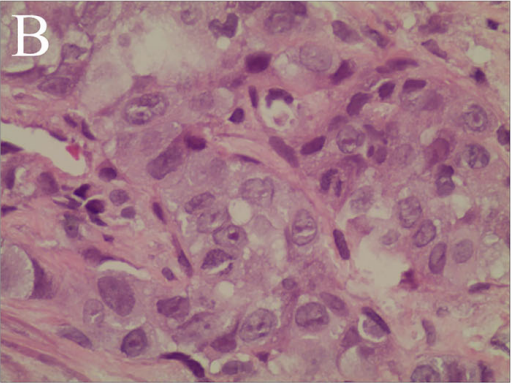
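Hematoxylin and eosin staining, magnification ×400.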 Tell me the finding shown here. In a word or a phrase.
Nuclear pleomorphism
